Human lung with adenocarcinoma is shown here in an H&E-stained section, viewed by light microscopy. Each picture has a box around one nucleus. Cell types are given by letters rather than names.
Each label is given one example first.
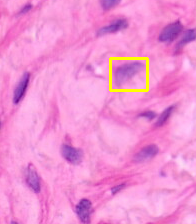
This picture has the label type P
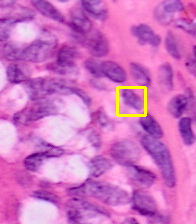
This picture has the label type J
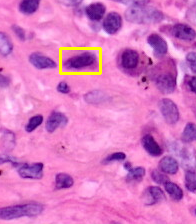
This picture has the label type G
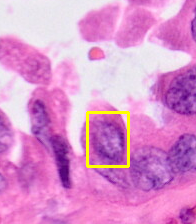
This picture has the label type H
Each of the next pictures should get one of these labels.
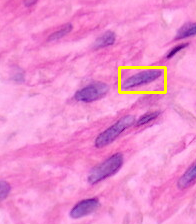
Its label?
type P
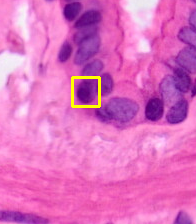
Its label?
type J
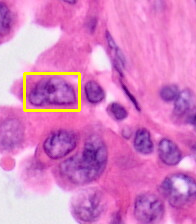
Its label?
type H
